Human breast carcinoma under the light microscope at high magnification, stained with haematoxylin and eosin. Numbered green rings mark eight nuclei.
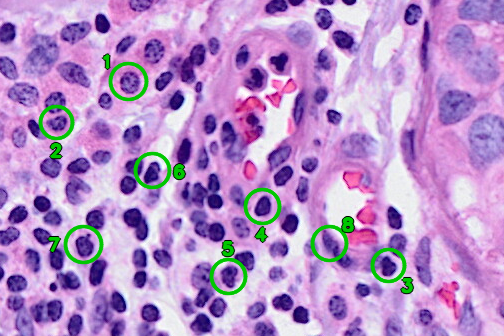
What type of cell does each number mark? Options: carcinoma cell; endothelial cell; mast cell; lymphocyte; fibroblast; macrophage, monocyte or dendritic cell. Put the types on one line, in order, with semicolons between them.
mast cell; mast cell; lymphocyte; lymphocyte; lymphocyte; lymphocyte; lymphocyte; endothelial cell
